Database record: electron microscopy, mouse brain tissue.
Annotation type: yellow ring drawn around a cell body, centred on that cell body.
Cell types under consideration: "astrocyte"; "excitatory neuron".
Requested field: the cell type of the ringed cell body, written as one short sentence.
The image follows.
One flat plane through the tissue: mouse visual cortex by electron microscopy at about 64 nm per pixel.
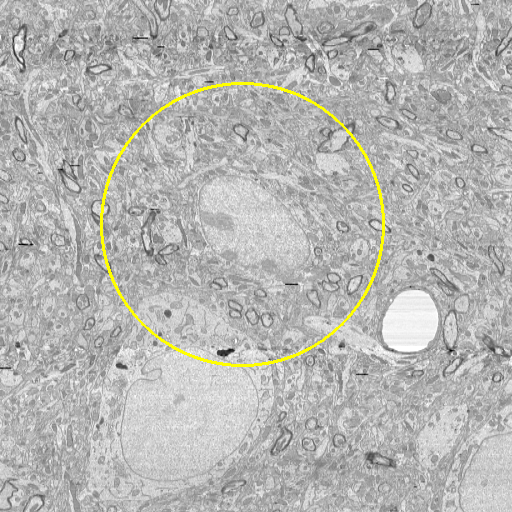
The ringed cell body represents an astrocyte.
